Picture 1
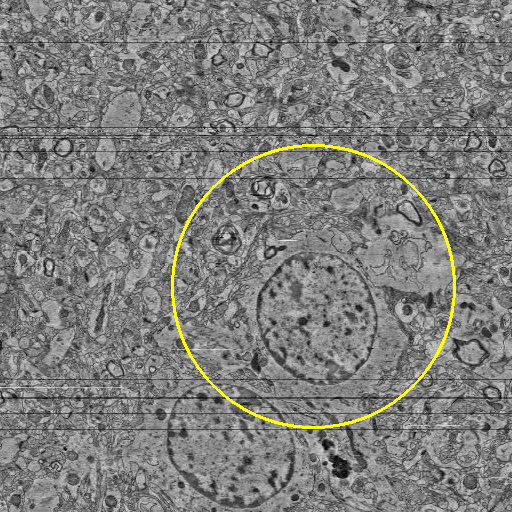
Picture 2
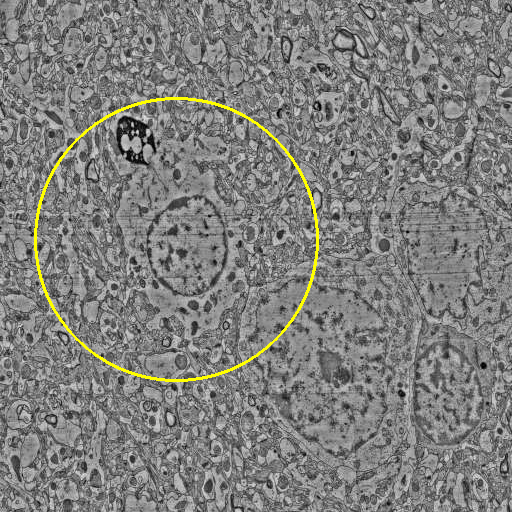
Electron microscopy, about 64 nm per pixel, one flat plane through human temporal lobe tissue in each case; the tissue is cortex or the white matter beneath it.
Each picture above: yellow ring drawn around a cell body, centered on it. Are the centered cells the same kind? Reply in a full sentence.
Yes, the two cells are the same kind.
